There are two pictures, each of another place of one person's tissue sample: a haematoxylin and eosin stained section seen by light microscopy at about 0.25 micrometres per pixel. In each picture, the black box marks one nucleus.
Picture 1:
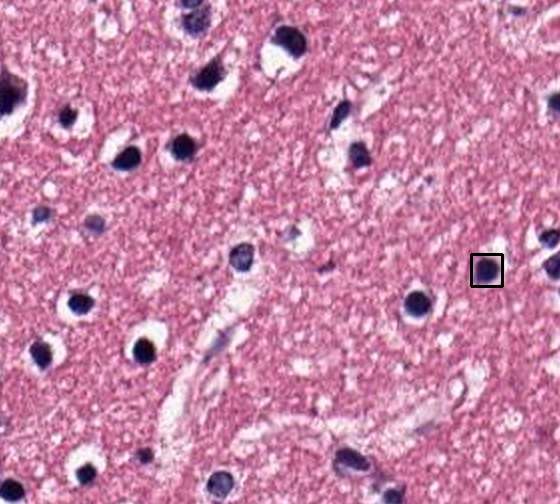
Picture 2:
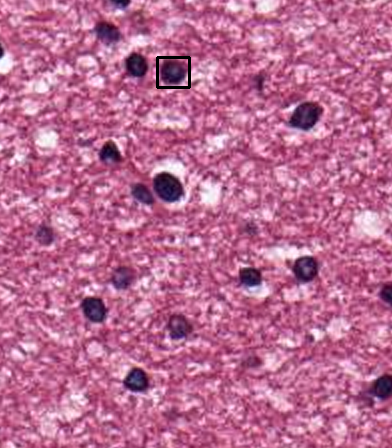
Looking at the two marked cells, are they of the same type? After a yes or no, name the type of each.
Yes, both are oligodendrocytes.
